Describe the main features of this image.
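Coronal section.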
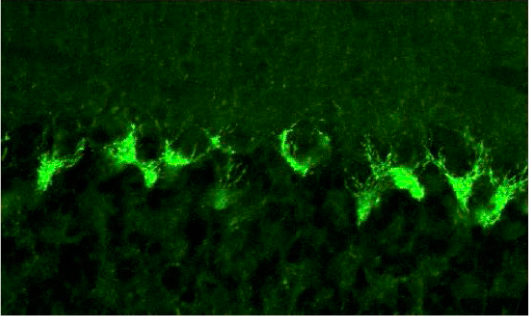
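Cerebellar cortex with a row of large neuronal cell bodies at the border between a finely textured upper layer and a darker, densely packed lower layer. Below the base of each large cell body lies an intensely green, brush-like tuft of fine tangled processes, the basket cell terminal pinceau, which tapers downward into the lower layer. The cell bodies themselves are dark with only faint green rims. The upper layer shows only weak diffuse green with scattered dots; the lower layer is dim.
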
